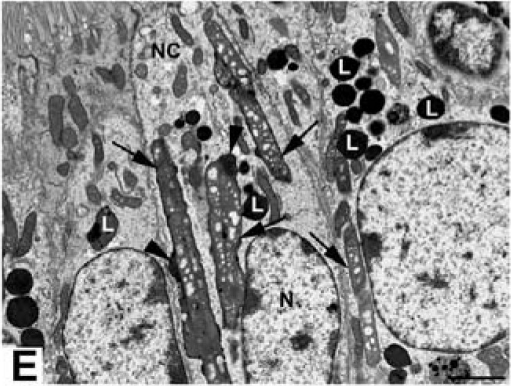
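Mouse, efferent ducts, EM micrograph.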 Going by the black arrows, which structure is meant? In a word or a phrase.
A: Cylindrical structures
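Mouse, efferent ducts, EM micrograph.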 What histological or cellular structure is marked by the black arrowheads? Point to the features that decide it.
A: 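Electron dense bulges. Dark swellings on the side of the long rod-shaped bodies. Similar in density to nearby round dense bodies.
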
